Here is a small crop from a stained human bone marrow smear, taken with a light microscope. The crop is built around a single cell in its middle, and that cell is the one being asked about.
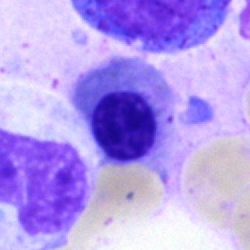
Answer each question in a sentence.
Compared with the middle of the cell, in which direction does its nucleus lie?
It is shifted toward the bottom of the cell.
